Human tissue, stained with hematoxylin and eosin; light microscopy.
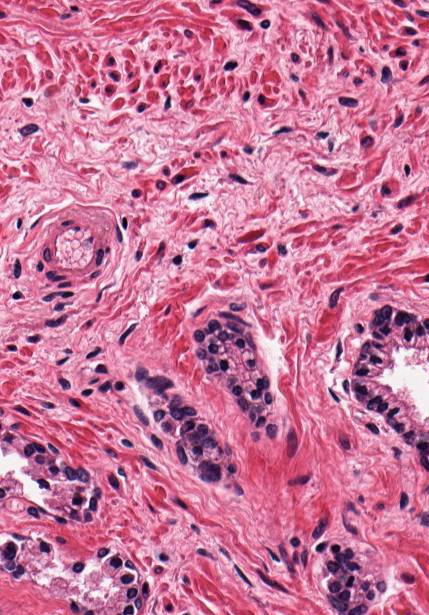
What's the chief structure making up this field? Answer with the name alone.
fibromuscular stroma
